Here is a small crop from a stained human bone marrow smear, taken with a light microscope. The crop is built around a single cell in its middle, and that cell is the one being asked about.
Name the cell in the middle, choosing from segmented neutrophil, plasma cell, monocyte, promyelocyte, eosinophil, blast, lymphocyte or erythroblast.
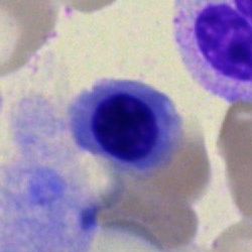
erythroblast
